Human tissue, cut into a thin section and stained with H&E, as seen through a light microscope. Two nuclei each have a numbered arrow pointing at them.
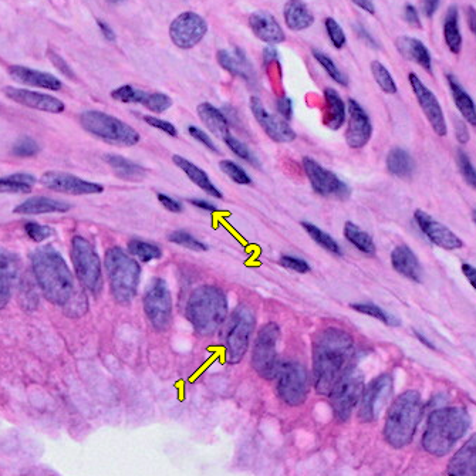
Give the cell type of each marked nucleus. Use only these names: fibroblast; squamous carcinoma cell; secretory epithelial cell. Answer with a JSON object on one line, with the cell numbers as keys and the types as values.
{"1": "secretory epithelial cell", "2": "fibroblast"}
